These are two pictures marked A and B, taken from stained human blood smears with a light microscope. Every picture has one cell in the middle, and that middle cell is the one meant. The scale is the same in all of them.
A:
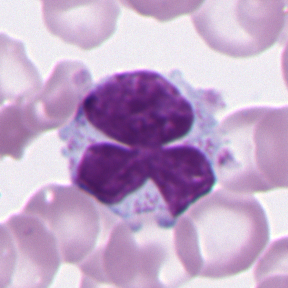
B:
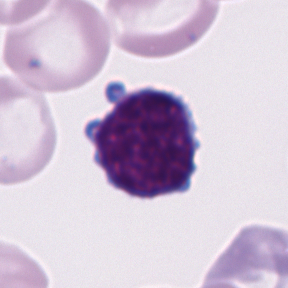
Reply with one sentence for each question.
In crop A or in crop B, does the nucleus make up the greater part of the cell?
In crop B the nucleus takes up the larger part of its cell.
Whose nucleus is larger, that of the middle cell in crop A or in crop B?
Crop A shows the larger nucleus; it covers about 1.5 times the area of the nucleus in crop B.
